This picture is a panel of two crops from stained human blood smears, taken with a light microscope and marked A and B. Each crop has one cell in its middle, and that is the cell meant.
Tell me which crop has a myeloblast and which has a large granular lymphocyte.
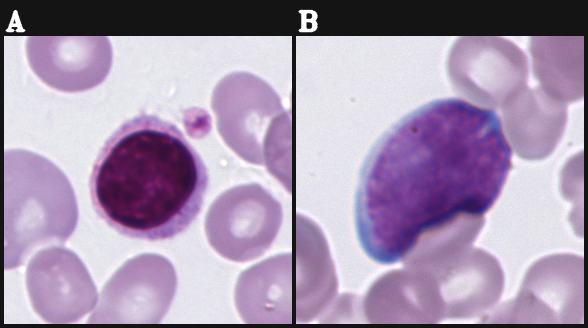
A: large granular lymphocyte
B: myeloblast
